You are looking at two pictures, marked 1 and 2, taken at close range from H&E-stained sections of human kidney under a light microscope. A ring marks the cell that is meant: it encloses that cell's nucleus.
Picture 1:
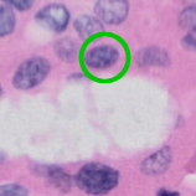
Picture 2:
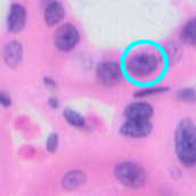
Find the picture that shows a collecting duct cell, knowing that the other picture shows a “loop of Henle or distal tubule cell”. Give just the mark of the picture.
2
